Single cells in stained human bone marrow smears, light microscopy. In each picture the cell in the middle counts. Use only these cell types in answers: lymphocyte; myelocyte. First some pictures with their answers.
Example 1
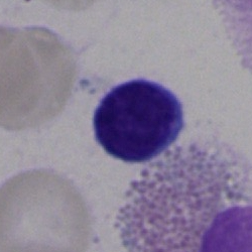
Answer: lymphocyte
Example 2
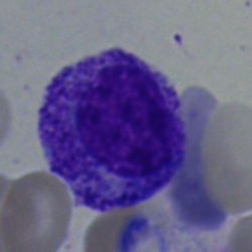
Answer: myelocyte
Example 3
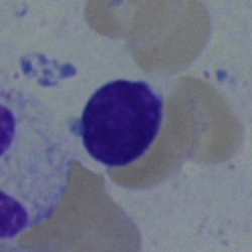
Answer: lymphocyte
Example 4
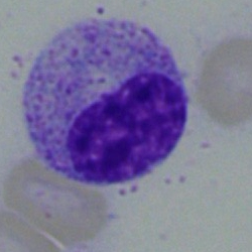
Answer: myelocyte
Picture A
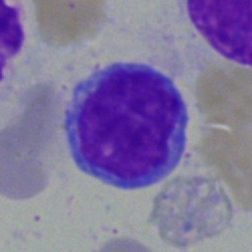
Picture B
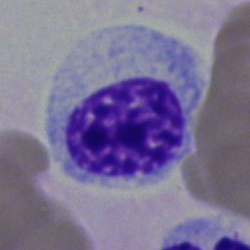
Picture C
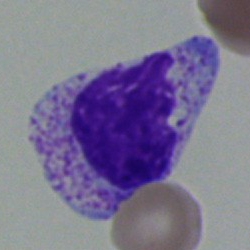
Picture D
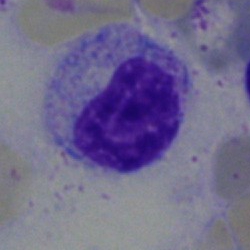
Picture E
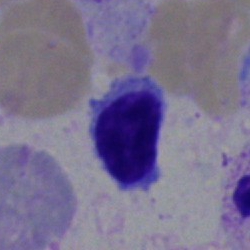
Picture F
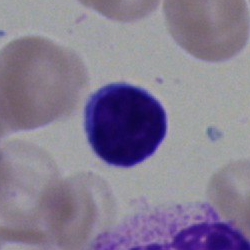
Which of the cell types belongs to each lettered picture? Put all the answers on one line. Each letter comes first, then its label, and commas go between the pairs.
A lymphocyte, B myelocyte, C myelocyte, D myelocyte, E lymphocyte, F lymphocyte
